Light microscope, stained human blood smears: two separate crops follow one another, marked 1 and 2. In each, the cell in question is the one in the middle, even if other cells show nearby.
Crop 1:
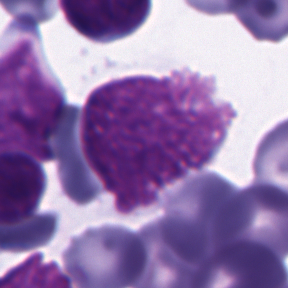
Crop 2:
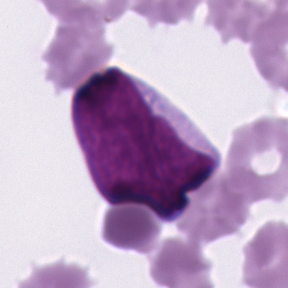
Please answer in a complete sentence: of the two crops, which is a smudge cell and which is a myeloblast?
In this set, crop 1 shows a smudge cell and crop 2 shows a myeloblast.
